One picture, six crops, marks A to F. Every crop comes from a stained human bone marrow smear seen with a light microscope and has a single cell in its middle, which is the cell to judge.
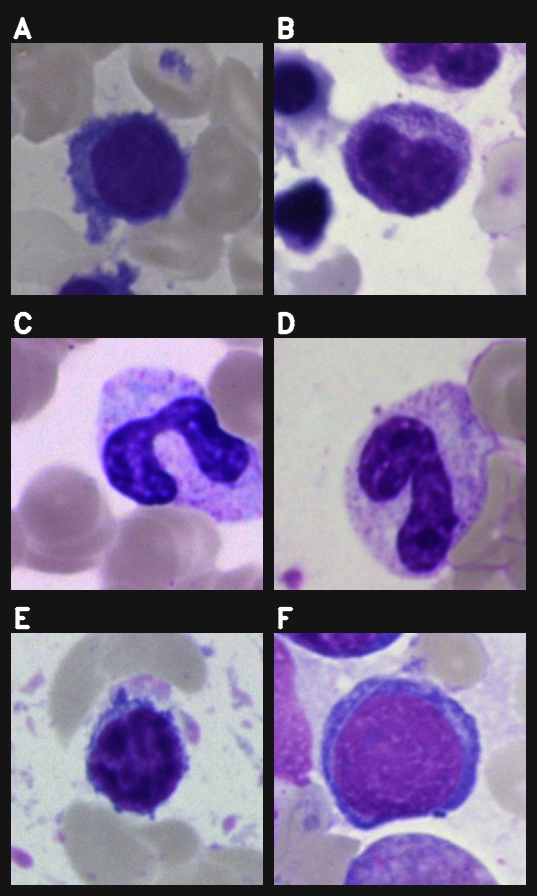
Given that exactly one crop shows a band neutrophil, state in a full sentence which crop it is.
The one crop that shows a band neutrophil is crop D.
